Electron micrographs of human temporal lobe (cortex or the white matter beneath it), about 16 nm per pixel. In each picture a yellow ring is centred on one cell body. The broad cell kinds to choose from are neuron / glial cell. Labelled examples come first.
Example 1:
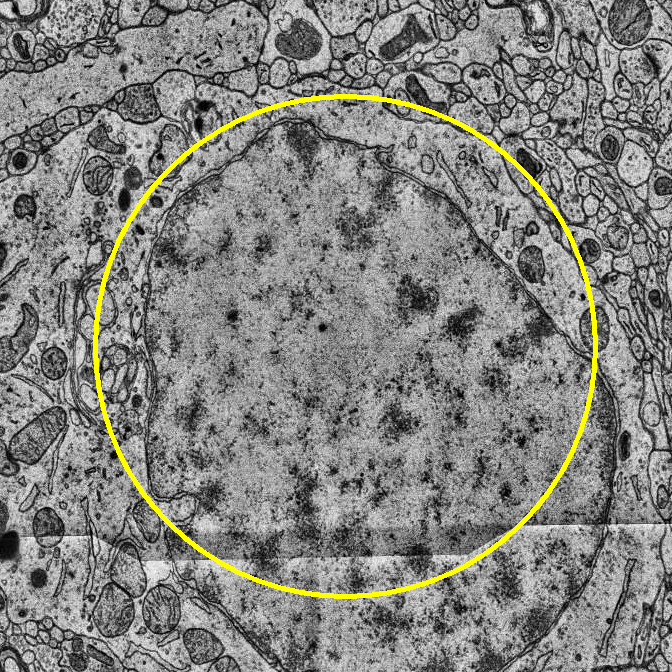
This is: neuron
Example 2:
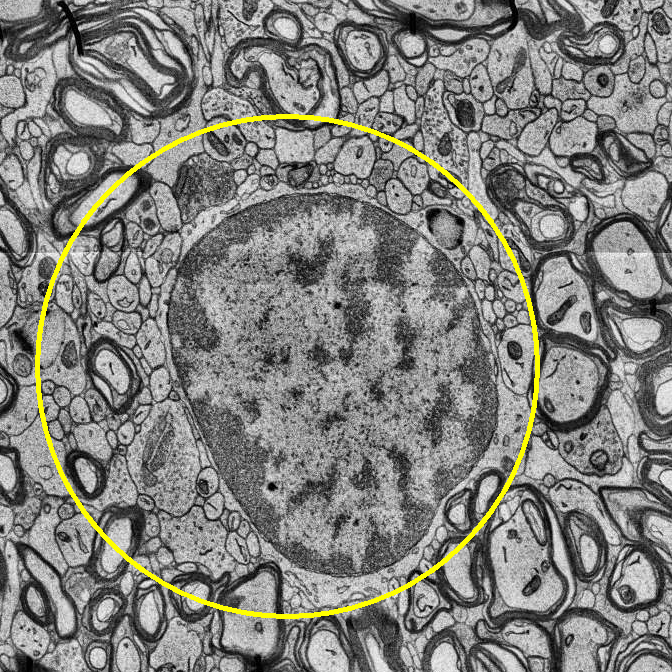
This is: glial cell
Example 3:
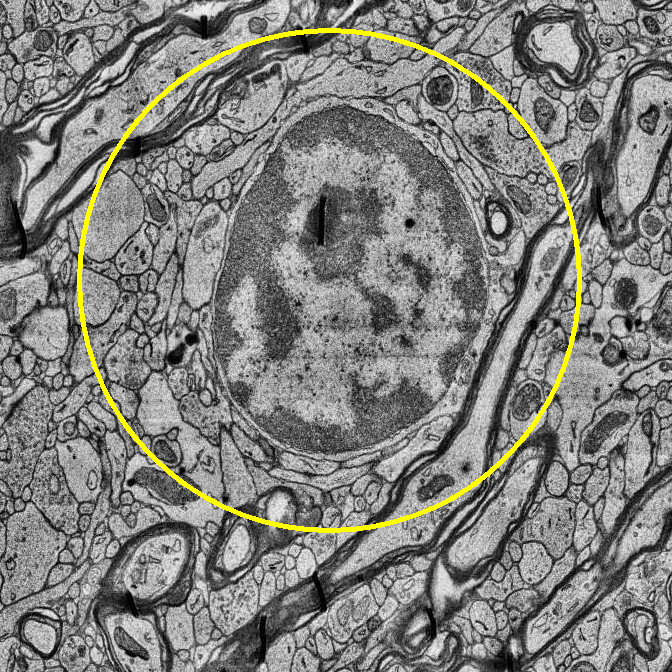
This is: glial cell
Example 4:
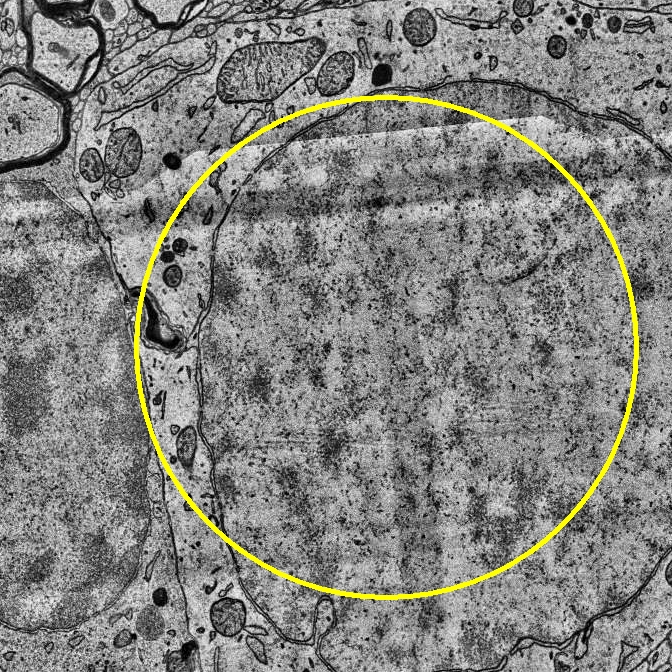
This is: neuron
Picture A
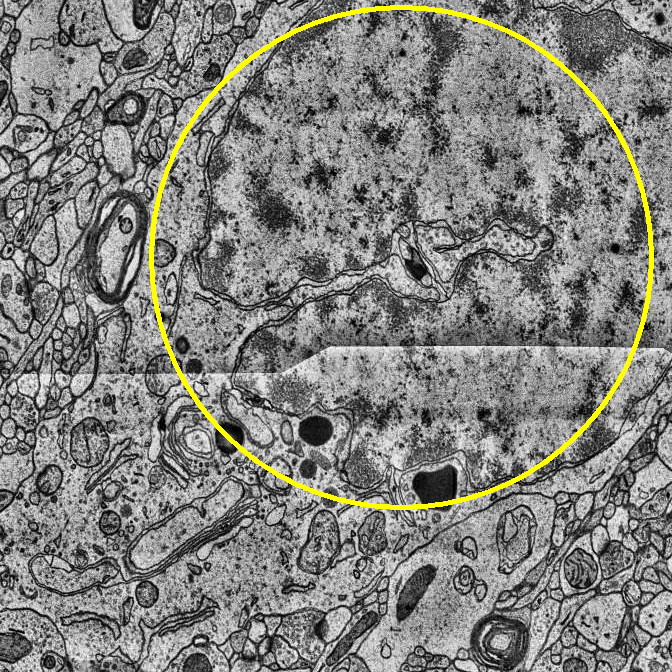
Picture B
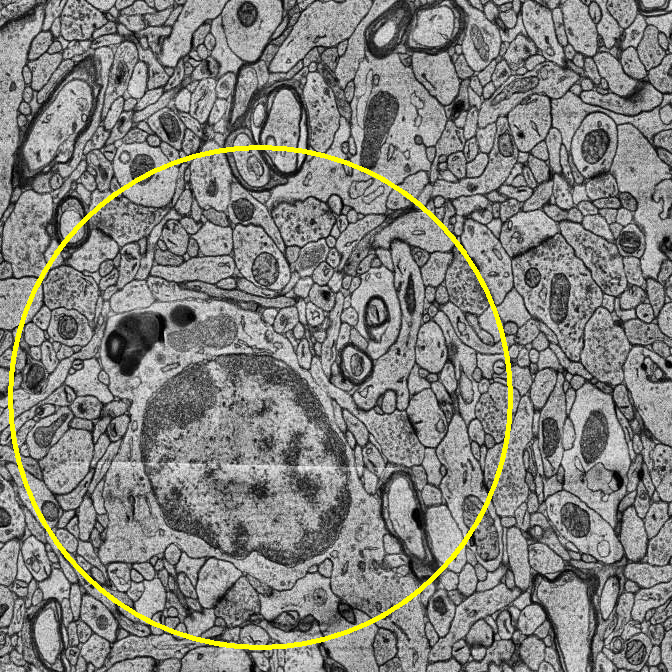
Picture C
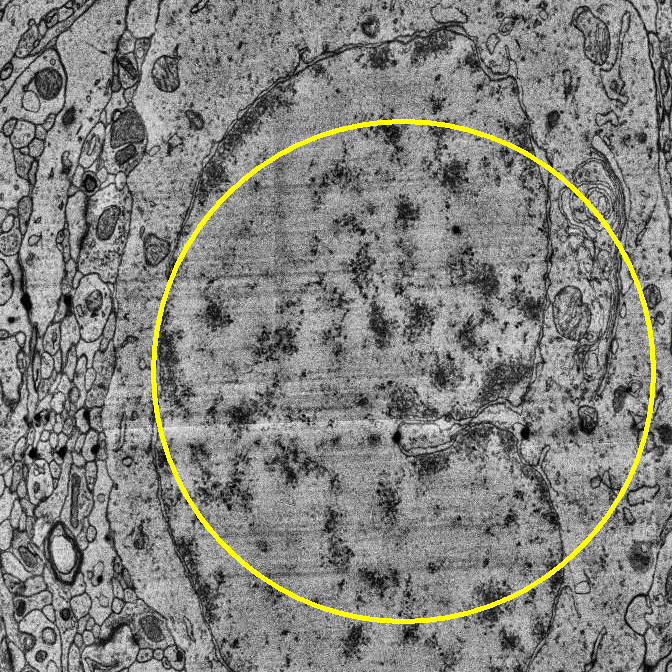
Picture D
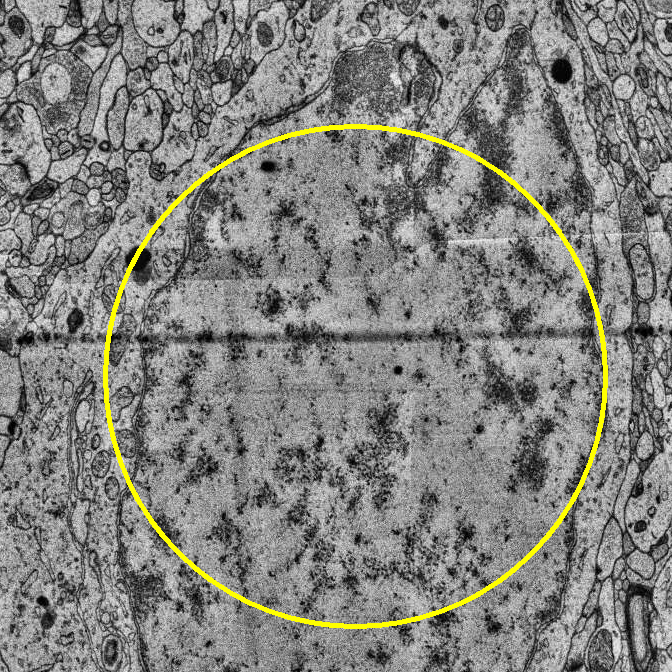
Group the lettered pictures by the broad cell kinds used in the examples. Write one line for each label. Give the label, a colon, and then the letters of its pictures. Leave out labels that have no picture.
neuron: A, C, D
glial cell: B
